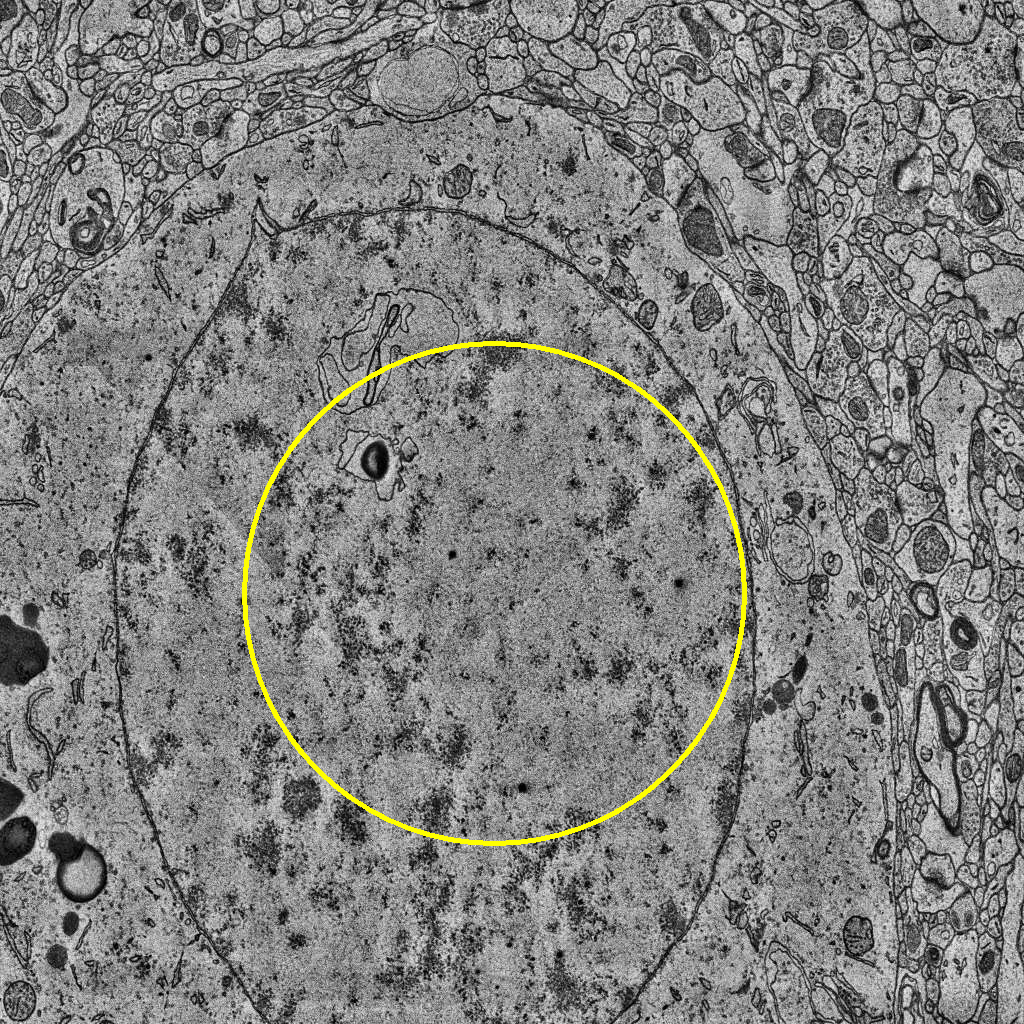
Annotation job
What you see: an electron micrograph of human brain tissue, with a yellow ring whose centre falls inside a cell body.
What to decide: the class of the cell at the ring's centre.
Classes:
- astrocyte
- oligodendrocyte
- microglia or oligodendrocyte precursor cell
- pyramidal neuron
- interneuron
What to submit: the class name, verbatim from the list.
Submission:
pyramidal neuron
